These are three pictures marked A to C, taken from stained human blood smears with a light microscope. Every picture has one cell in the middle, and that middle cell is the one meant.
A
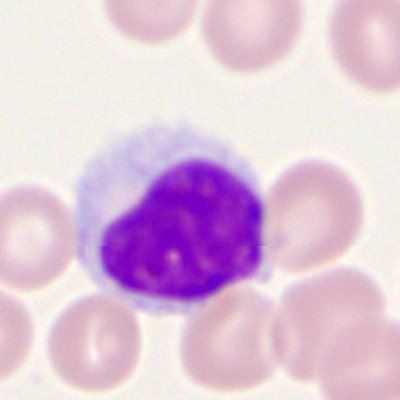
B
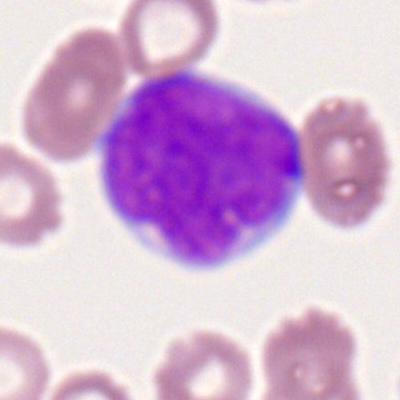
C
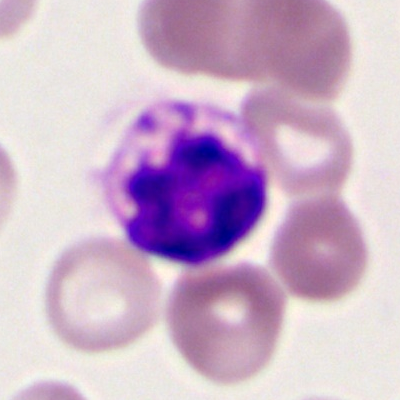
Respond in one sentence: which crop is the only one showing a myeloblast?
So the crop with a myeloblast at its center is crop B.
